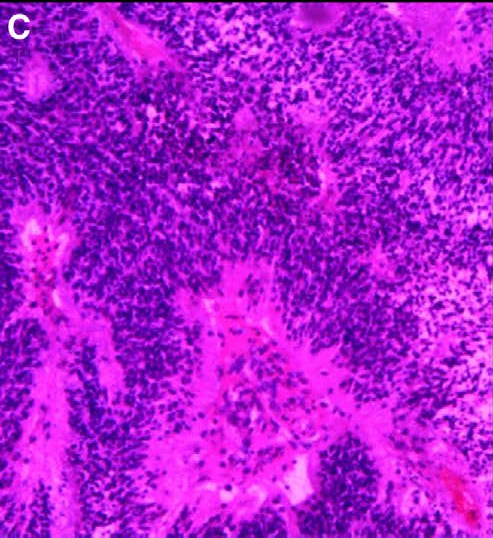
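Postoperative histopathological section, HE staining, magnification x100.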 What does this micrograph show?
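This is a densely cellular tumour, an ependymoma, seen at low power. The field is crowded with small, dark blue, roundish nuclei, and the cytoplasm between them is scant. Scattered through the sheet are pale pink zones centred on blood vessels. The pink areas look finely fibrillary and stand out clearly against the blue of the crowded nuclei.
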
